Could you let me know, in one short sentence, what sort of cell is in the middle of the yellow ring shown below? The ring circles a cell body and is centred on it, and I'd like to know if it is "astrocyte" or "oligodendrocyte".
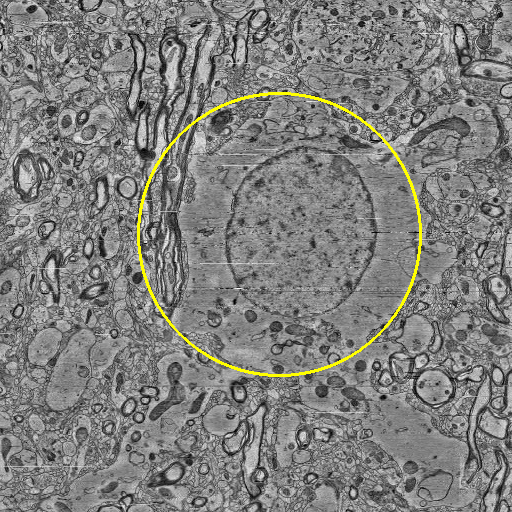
The ring circles the cell body of an astrocyte.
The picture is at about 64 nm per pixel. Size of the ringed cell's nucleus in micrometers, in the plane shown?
In this plane, roughly 11 by 10 micrometres.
